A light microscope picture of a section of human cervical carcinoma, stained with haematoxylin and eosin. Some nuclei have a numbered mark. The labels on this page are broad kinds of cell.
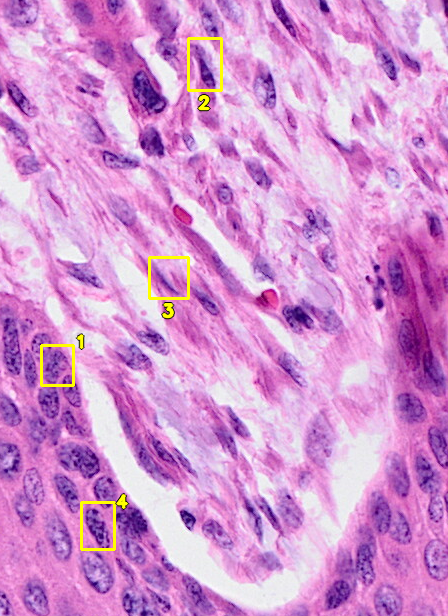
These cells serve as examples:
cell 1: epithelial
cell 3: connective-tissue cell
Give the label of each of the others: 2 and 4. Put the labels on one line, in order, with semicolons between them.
connective-tissue cell; epithelial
